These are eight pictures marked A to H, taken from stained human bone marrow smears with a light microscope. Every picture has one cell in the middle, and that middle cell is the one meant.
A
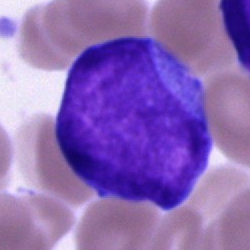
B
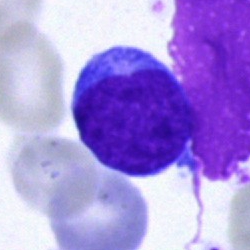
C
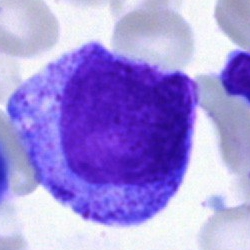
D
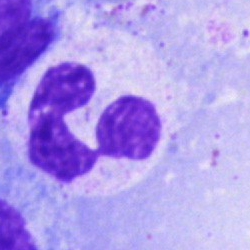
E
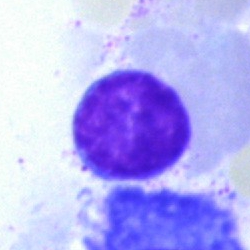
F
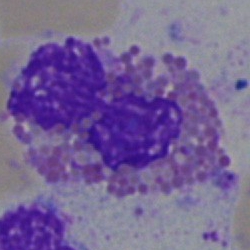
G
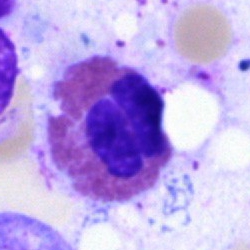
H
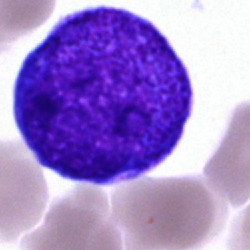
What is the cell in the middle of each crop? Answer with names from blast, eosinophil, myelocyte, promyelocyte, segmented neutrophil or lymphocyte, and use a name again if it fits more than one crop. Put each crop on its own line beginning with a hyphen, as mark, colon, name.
- A: blast
- B: lymphocyte
- C: promyelocyte
- D: segmented neutrophil
- E: lymphocyte
- F: eosinophil
- G: eosinophil
- H: promyelocyte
